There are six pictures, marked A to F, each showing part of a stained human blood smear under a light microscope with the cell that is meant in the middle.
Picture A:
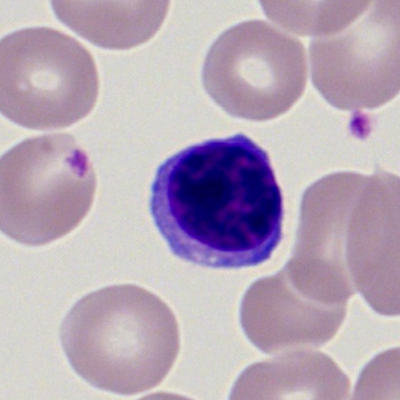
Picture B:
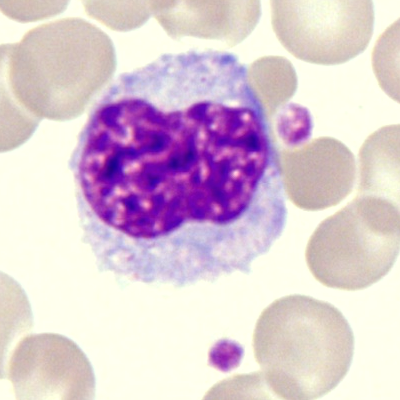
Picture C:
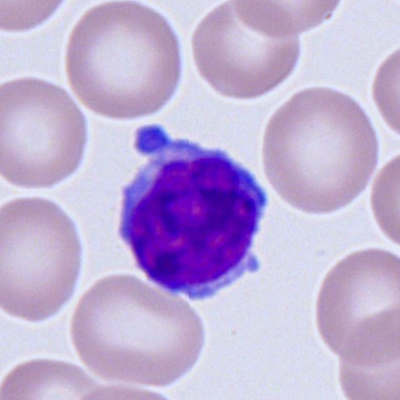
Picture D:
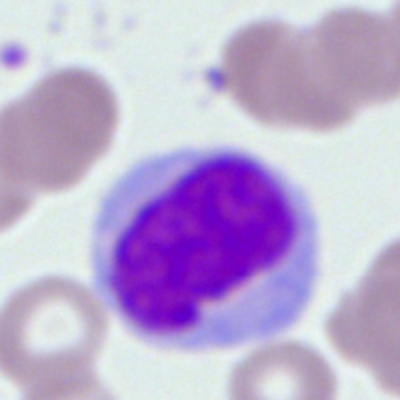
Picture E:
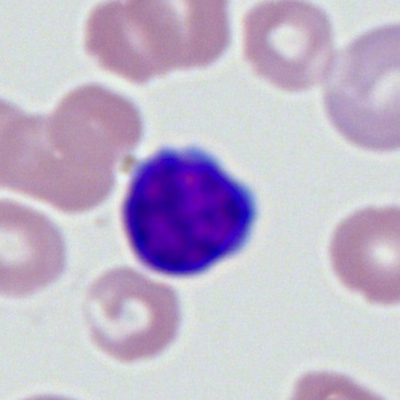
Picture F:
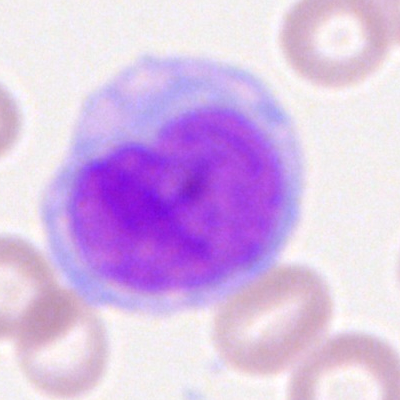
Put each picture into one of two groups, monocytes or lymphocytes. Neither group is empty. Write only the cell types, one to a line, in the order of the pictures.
lymphocyte
monocyte
lymphocyte
monocyte
lymphocyte
monocyte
